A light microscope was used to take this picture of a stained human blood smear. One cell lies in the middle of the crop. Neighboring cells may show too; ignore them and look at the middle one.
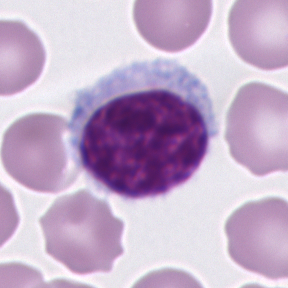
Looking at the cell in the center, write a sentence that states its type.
This crop's central cell is a hairy cell.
